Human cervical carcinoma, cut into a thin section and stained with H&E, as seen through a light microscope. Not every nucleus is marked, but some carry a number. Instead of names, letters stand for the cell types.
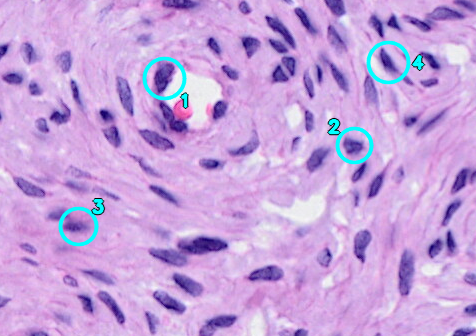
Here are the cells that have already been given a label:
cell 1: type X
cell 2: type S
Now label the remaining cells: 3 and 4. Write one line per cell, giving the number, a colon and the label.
3: type S
4: type S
